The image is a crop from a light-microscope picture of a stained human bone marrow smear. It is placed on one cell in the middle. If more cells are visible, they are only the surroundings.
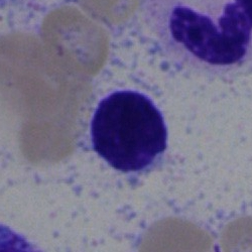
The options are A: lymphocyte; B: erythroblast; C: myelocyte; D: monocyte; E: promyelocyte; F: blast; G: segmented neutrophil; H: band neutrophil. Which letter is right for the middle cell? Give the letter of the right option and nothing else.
A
